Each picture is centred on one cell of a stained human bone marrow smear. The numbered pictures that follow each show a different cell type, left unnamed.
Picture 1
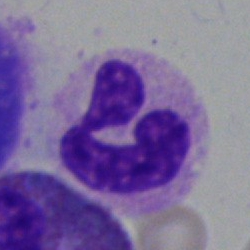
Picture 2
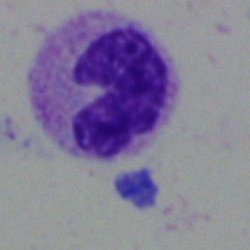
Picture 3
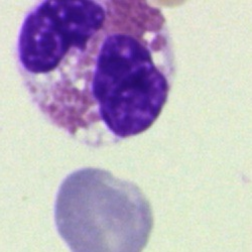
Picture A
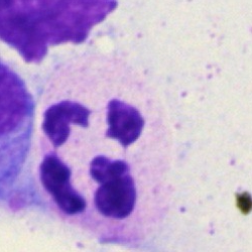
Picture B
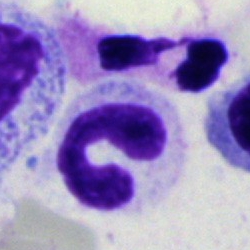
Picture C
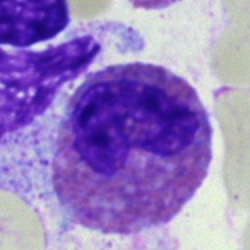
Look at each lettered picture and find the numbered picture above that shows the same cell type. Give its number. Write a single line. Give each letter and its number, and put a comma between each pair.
A 1, B 1, C 3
